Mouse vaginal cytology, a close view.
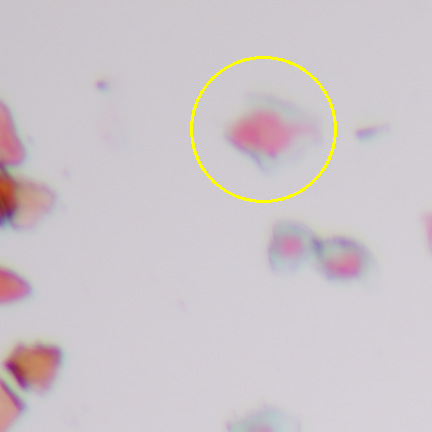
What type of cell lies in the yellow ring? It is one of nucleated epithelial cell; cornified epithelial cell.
The ringed cell is a nucleated epithelial cell.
